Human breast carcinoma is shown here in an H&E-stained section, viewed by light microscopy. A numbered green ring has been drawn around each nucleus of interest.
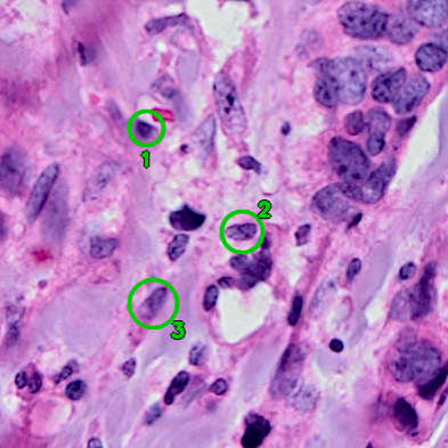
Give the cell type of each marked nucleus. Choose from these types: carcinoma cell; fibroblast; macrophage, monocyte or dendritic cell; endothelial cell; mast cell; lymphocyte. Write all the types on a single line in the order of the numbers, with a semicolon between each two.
endothelial cell; mast cell; fibroblast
